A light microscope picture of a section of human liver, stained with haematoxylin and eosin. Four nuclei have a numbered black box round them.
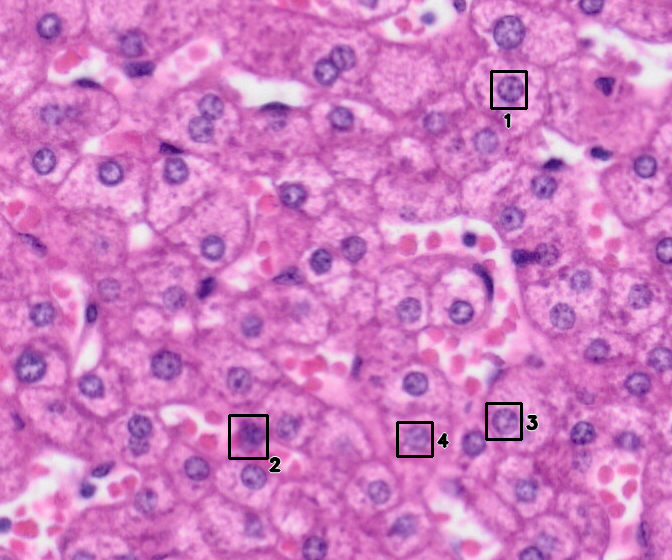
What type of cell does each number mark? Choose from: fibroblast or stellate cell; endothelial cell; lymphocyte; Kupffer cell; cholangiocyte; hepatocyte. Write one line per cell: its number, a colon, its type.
1: hepatocyte
2: endothelial cell
3: hepatocyte
4: hepatocyte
